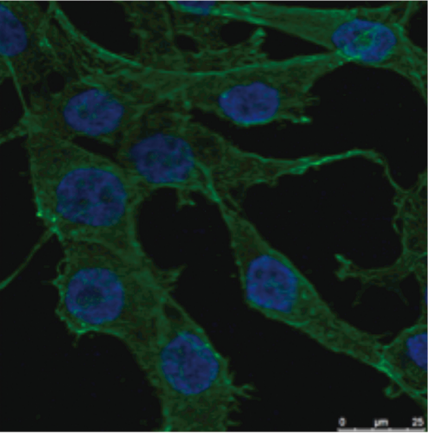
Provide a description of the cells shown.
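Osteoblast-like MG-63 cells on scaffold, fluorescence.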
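The cells are flattened and irregular to spindle-shaped, each with a single large oval blue nucleus showing a mottled texture. The green cytoplasm fills each cell body and extends into broad sheets and thin branching processes with fine spiky edges. Neighbouring cells touch and overlap one another through these extensions, leaving dark gaps of uncovered surface between them. The green stain is brightest along the cell margins and in fine strands running through the cytoplasm.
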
